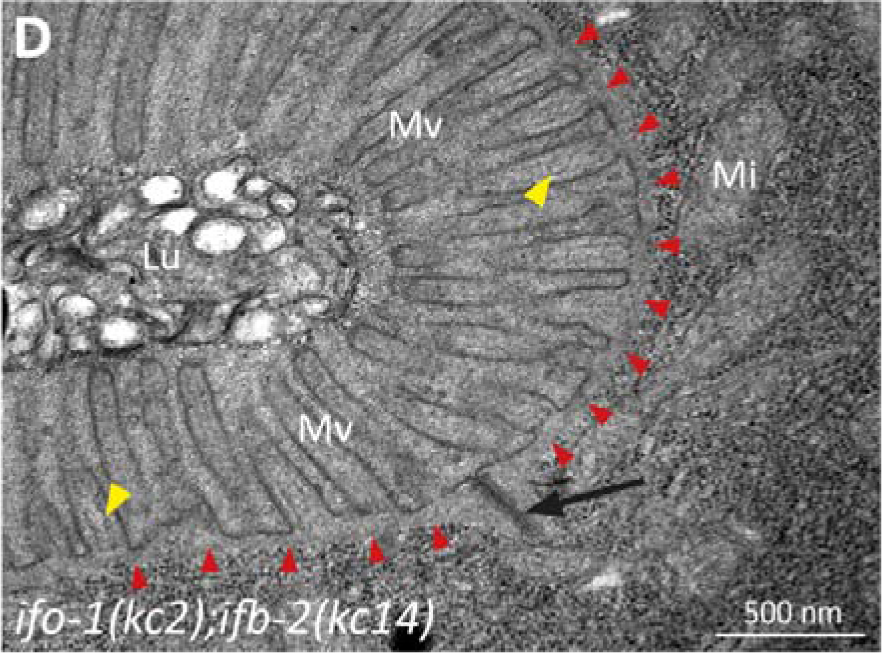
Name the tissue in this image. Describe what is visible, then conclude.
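Dense rows of regular microvilli project into a central lumen. Apical cytoplasm with a mitochondrion lies beneath the brush border.
Conclusion: intestinal cell apices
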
